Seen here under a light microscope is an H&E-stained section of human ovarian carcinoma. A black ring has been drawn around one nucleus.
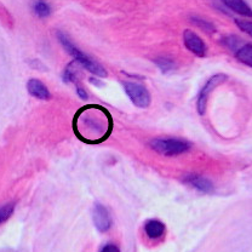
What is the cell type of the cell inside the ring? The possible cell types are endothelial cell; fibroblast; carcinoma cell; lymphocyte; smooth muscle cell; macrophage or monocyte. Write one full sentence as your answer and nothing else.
Placed in its cell category, the cell inside the ring is a smooth muscle cell.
